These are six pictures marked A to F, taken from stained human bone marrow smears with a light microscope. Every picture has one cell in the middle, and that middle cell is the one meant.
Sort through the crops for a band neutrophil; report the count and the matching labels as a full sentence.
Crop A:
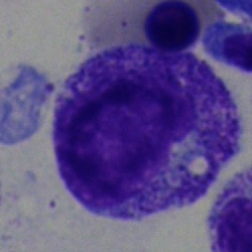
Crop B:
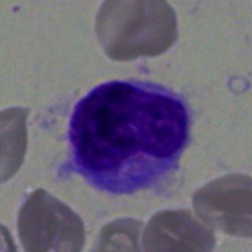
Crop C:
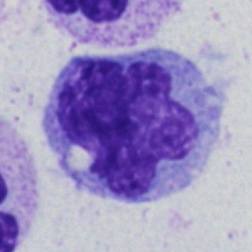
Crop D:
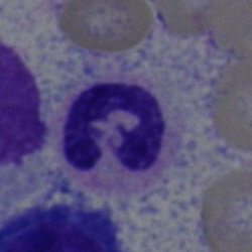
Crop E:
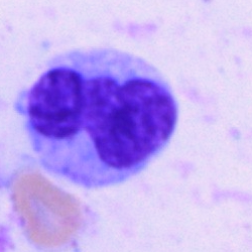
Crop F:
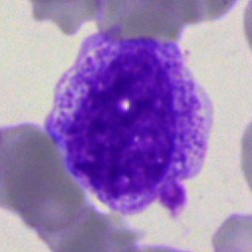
No crop contains band neutrophils, and the count therefore stands at zero.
